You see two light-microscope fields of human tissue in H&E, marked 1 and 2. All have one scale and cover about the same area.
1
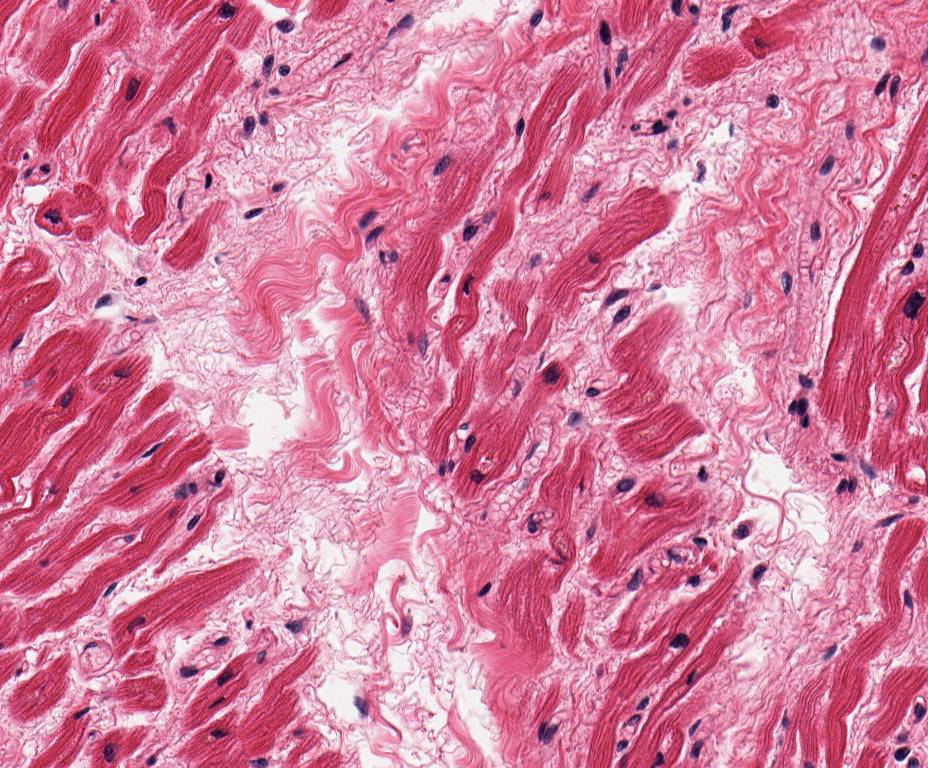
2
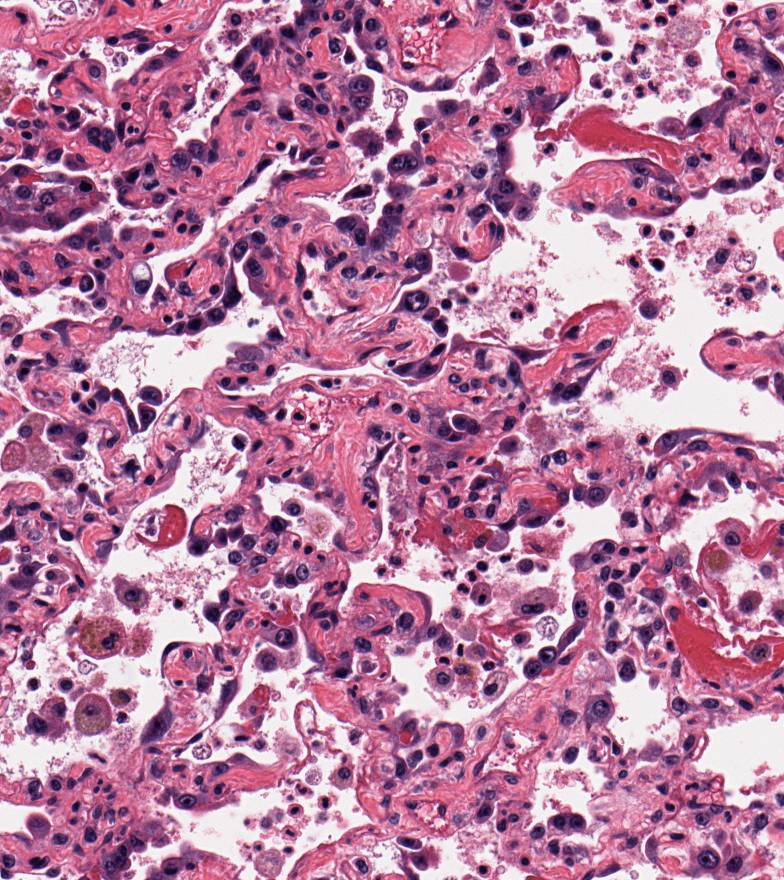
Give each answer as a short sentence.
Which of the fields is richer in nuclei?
It is picture 2 that has more nuclei in it.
